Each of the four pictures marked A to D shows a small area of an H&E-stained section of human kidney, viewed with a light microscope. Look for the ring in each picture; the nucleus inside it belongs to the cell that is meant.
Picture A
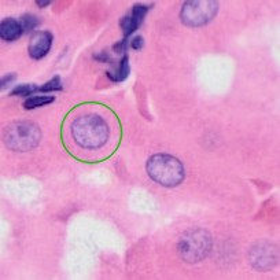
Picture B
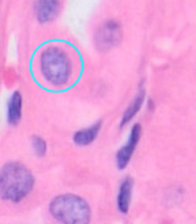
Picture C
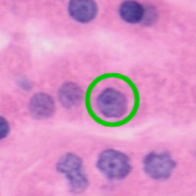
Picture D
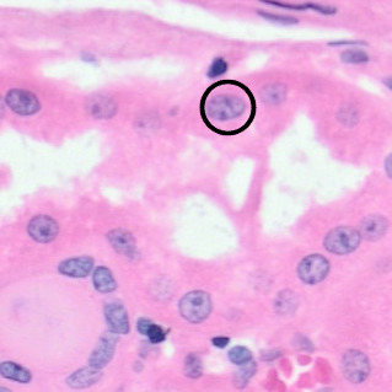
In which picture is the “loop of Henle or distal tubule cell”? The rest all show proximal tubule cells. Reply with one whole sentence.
Picture B is the one that shows the “loop of Henle or distal tubule cell”.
